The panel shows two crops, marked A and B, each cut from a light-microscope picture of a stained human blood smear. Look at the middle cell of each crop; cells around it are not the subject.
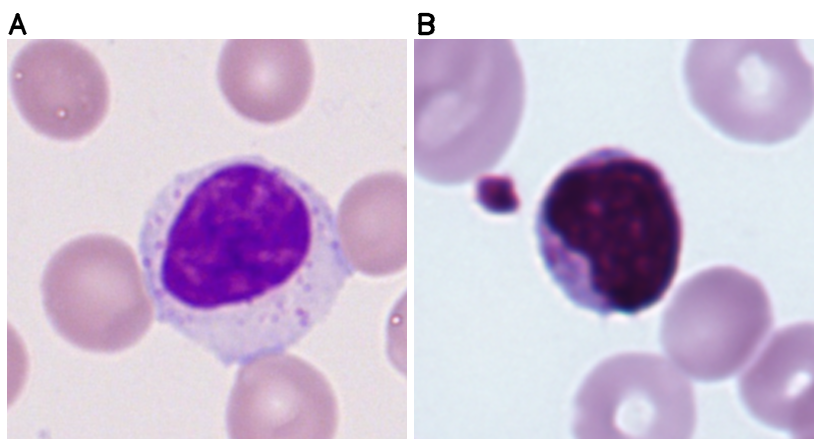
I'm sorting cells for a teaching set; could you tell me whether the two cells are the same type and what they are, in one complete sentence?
Yes, lymphocytes are shown in both crops.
